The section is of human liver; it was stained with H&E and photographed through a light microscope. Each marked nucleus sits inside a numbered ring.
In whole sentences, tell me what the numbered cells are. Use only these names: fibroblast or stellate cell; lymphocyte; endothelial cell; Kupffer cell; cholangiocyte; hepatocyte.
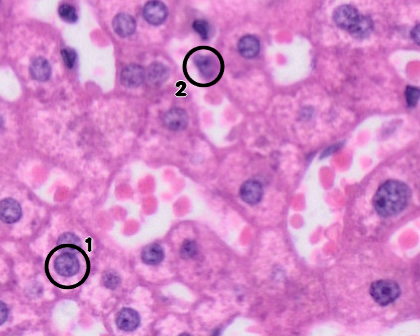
Cell 1 is a hepatocyte and cell 2 is a Kupffer cell.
